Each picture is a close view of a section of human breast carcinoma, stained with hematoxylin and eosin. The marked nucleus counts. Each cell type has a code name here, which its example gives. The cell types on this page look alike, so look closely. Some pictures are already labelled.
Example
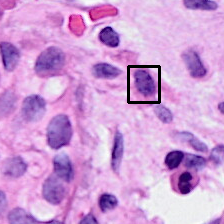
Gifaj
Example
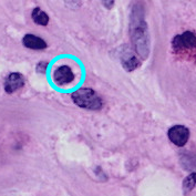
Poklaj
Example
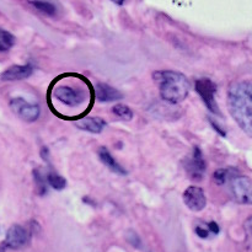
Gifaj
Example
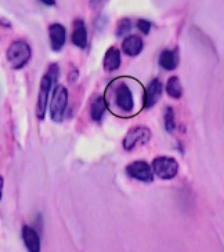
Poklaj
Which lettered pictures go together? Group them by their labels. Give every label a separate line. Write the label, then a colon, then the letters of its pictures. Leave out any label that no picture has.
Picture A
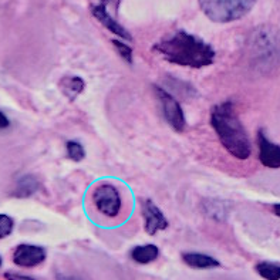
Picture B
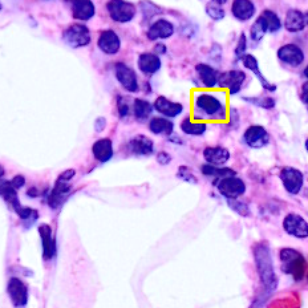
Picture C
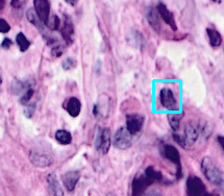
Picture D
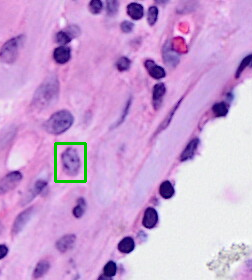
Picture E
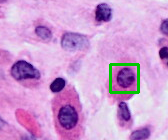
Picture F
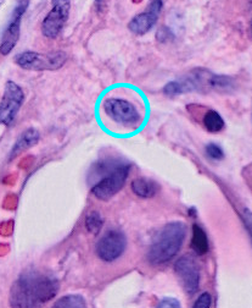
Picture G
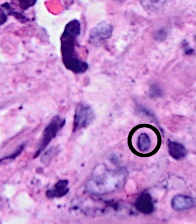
Gifaj: A, D, E, F, G
Poklaj: B, C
